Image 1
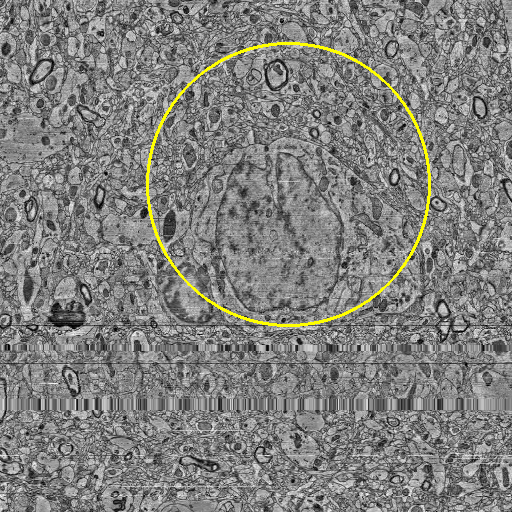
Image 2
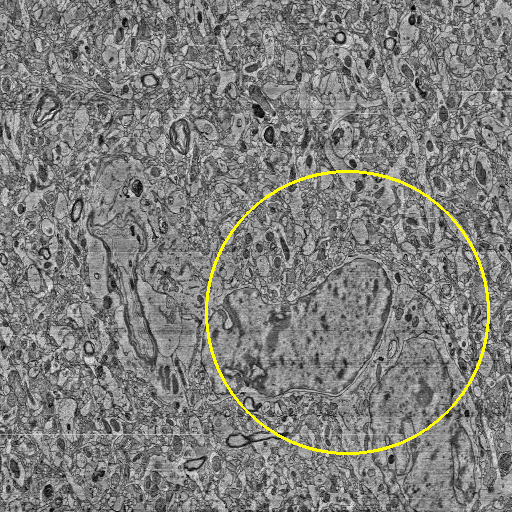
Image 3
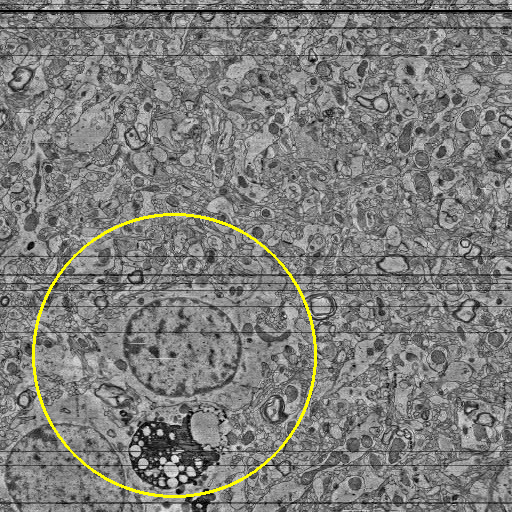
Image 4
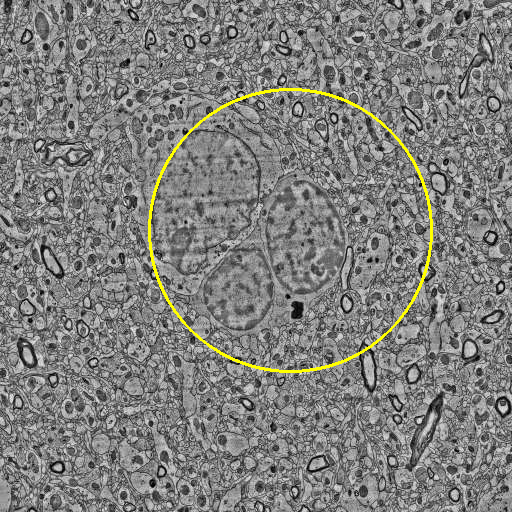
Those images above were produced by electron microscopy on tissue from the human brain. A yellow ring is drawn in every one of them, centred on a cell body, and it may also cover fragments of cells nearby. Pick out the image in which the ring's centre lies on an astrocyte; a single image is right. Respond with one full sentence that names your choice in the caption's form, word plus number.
Image 3 is my choice: its ring is centred on the requested cell.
